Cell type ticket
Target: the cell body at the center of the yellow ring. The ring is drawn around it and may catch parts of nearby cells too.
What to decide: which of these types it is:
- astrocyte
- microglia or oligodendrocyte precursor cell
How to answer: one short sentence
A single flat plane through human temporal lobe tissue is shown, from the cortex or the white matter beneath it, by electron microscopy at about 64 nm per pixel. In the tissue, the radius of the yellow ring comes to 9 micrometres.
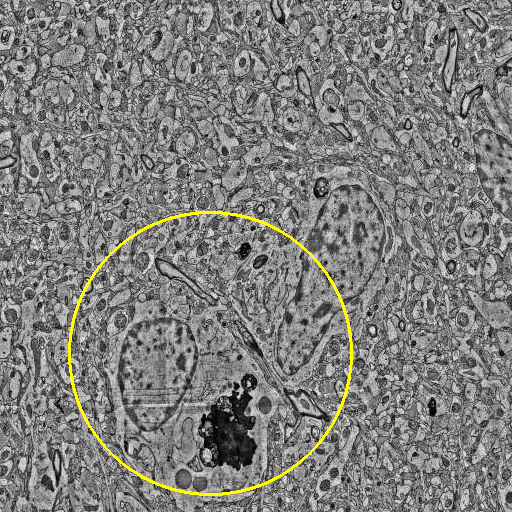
The cell at the center of the ring is an astrocyte.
